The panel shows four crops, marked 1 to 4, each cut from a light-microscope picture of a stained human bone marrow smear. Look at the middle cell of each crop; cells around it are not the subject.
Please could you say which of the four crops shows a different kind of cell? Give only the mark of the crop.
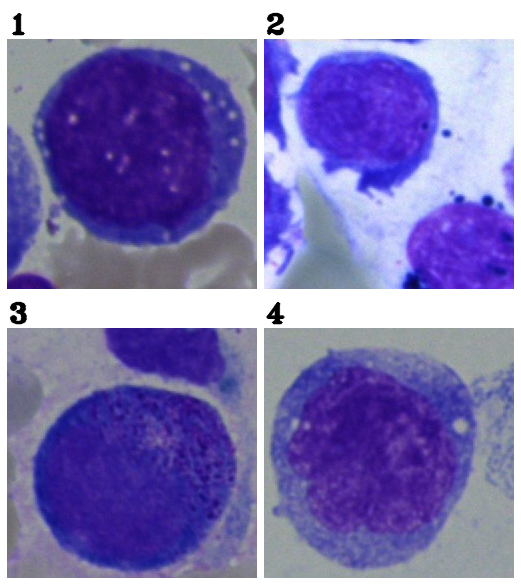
3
